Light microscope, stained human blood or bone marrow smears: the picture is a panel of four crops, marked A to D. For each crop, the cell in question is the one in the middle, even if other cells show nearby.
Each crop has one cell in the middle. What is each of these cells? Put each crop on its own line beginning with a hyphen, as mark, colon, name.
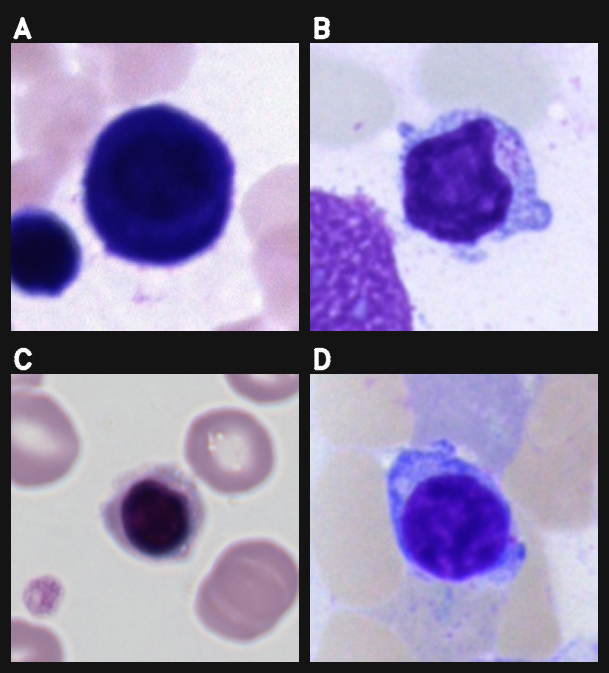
- A: plasma cell
- B: lymphocyte
- C: erythroblast
- D: lymphocyte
